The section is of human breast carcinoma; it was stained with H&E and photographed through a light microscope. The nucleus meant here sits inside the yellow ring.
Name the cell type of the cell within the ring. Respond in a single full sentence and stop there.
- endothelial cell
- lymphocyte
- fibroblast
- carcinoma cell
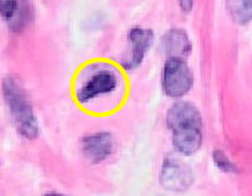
It is as a lymphocyte that the cell within the ring is classified.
